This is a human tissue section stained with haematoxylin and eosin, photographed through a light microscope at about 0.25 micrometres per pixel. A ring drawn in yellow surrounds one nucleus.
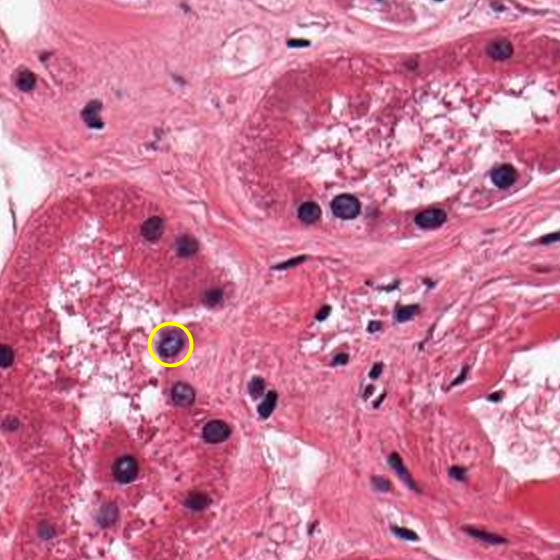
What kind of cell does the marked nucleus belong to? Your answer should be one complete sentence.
Singled out by the mark is the nucleus of a proximal tubule cell.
